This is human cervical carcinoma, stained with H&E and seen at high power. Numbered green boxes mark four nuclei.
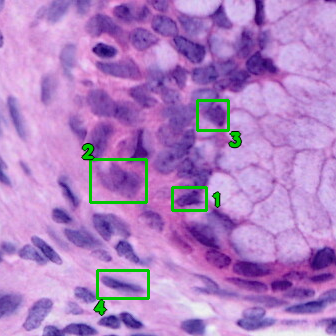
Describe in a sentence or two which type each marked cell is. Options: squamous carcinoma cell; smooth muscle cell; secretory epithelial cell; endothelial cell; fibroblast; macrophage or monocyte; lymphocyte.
Cell 1 is a secretory epithelial cell, cell 2 is a secretory epithelial cell, cell 3 is a secretory epithelial cell and cell 4 is a fibroblast.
